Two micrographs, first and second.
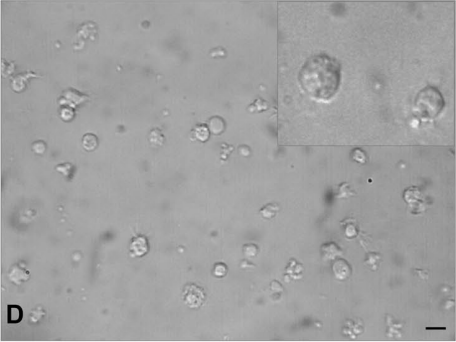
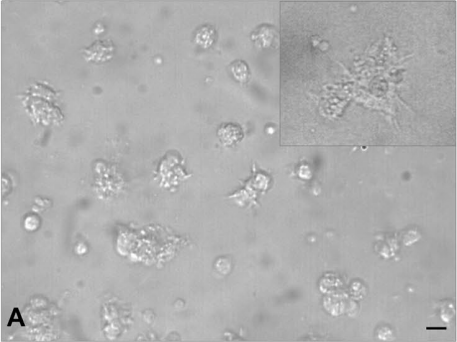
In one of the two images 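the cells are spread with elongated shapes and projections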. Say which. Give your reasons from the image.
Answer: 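First image: most cells are small, compact and round, with few projections. Second image: many cells are larger, irregular and spread, with projections; the inset shows a spread cell with thin extensions.
The second image.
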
